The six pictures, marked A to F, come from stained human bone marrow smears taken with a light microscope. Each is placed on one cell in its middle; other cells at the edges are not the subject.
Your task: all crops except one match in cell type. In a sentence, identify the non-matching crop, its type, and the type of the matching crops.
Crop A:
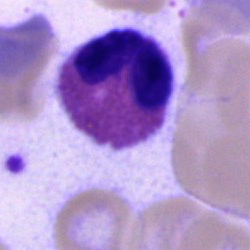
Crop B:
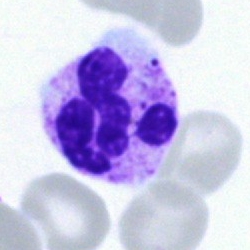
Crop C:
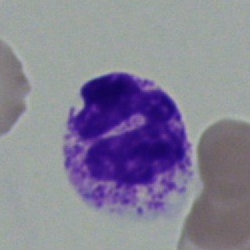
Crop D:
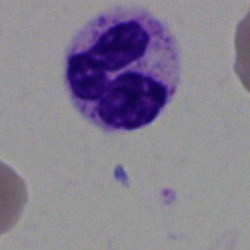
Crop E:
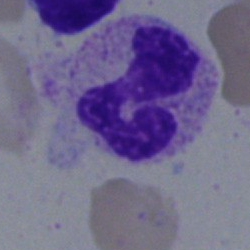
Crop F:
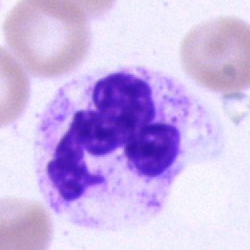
Unlike the rest, which all show segmented neutrophils, crop A contains an eosinophil.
